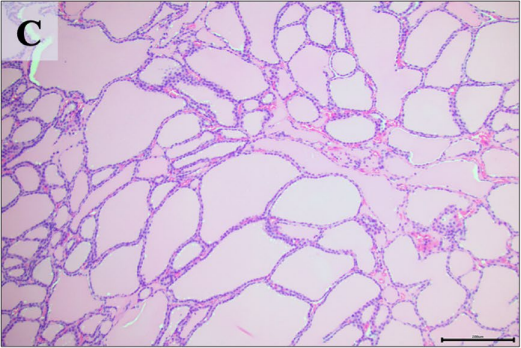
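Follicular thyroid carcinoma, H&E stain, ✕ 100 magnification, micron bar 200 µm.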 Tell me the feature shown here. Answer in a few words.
macrofollicular growth pattern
